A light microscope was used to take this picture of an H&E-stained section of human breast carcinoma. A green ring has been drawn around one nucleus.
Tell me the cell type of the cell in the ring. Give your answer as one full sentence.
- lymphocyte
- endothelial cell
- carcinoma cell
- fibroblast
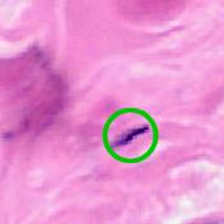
In the context of this tissue, the cell in the ring is a fibroblast.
